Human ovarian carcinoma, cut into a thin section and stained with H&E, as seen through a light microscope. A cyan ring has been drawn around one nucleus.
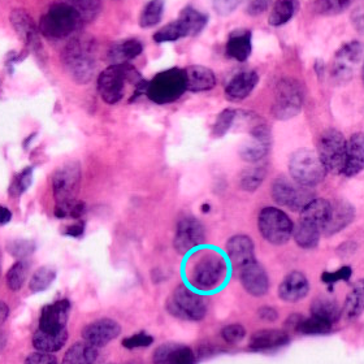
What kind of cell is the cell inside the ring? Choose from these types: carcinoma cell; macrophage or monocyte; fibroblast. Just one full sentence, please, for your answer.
Typologically, the cell inside the ring is a carcinoma cell in this section.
